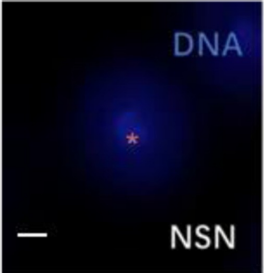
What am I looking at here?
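A large round oocyte fills the middle of the field as a soft blue haze that fades toward its rim. The edge of another cell shows faintly in the upper right corner.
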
